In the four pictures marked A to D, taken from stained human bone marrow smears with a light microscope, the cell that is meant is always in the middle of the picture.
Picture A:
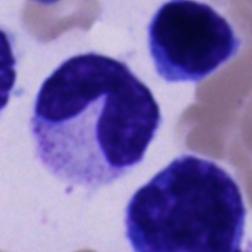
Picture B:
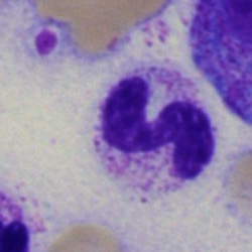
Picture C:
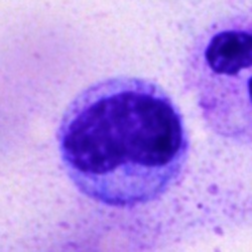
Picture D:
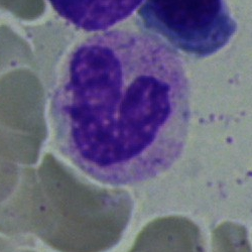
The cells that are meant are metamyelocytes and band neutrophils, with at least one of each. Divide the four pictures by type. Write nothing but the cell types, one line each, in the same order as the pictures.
band neutrophil
band neutrophil
metamyelocyte
band neutrophil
